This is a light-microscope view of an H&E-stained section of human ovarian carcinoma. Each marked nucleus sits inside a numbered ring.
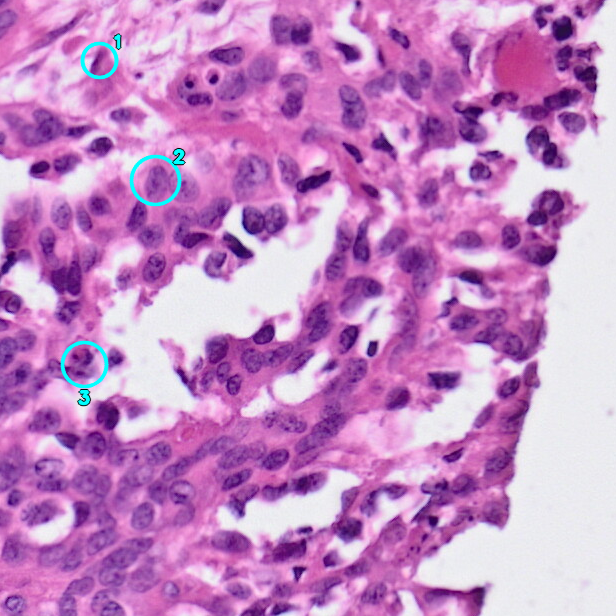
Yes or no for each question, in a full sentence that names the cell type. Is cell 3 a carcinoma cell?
No, cell 3 is to be read as a macrophage or monocyte, not a carcinoma cell.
